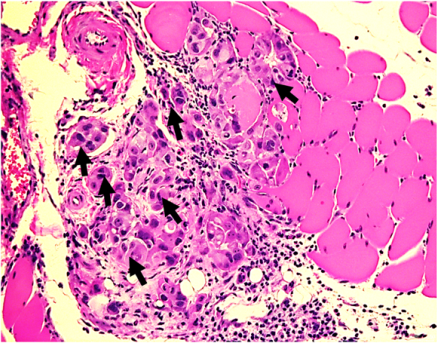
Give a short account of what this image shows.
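Tumor tissue with nests of multinucleated giant cells lying beside skeletal muscle. The giant cells are large and rounded, each holding several purple nuclei within abundant pale pink cytoplasm. Between and around the nests lie many small cells with dark, compact nuclei. To the right, bright pink muscle fibers are cut in cross section and pack closely together. At the upper left a thick-walled vessel is seen, and pale loose spaces separate parts of the tissue.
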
